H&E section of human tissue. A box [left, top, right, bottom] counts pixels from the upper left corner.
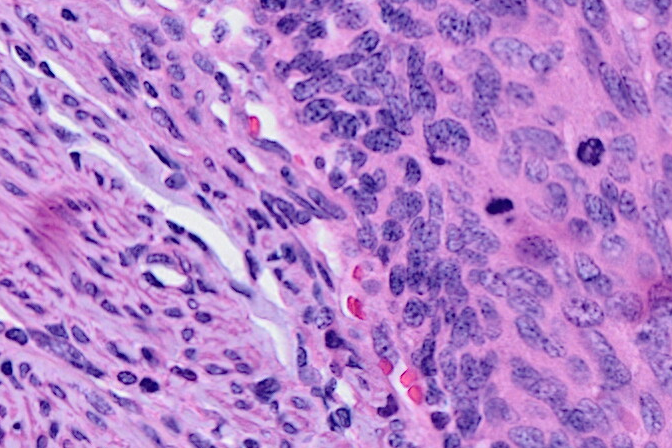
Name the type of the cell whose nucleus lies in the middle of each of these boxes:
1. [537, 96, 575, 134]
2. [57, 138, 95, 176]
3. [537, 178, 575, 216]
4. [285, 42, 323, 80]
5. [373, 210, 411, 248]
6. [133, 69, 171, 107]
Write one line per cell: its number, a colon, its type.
1: squamous carcinoma cell
2: lymphocyte
3: squamous carcinoma cell
4: squamous carcinoma cell
5: squamous carcinoma cell
6: lymphocyte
